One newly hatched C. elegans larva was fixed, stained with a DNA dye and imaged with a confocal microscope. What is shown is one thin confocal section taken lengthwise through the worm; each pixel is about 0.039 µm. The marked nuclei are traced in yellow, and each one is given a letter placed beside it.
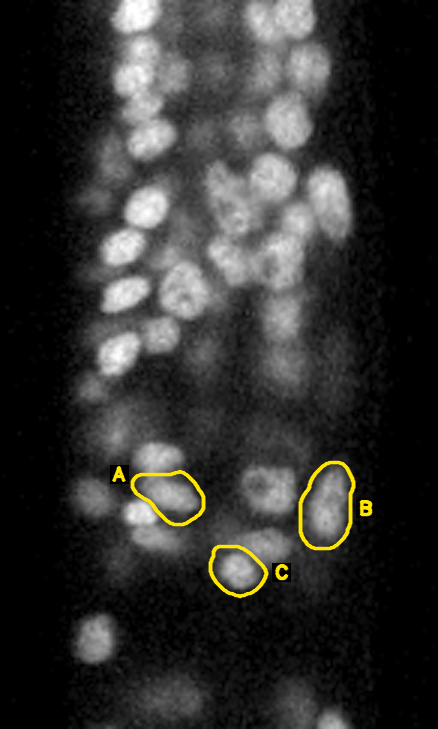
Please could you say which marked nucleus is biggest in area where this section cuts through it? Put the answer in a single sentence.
B is the one with the largest cut area.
